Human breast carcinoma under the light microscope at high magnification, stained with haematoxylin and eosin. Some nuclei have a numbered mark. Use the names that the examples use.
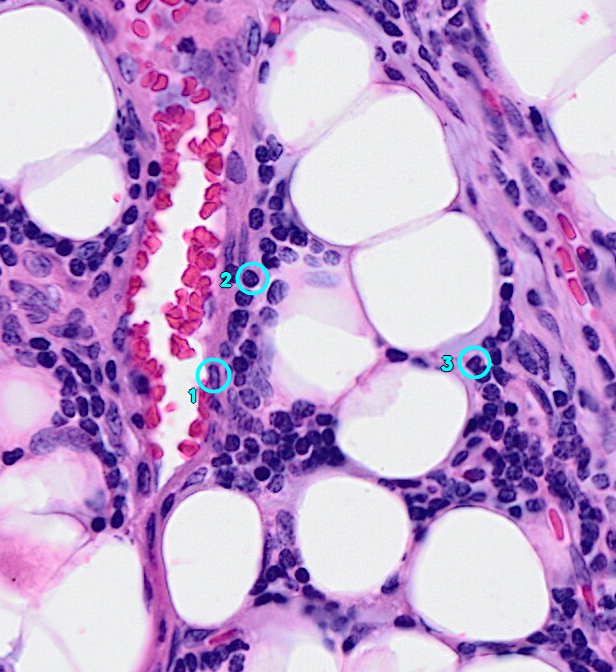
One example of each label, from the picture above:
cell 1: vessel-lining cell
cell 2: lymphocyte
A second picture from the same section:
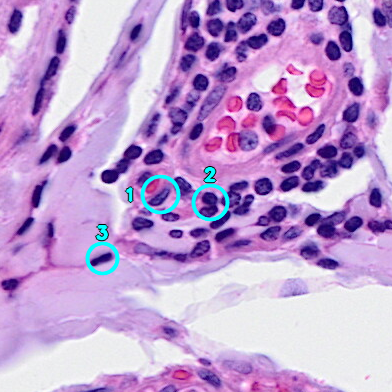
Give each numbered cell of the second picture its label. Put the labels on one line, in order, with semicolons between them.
vessel-lining cell; lymphocyte; lymphocyte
